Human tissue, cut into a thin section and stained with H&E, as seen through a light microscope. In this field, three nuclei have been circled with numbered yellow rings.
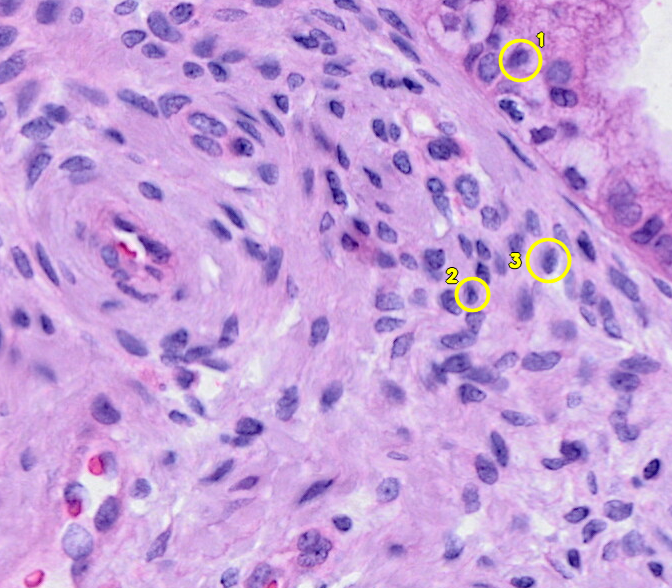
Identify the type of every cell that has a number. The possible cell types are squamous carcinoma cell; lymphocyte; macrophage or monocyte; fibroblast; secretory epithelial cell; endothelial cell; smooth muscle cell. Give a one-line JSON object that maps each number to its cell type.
{"1": "secretory epithelial cell", "2": "fibroblast", "3": "fibroblast"}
